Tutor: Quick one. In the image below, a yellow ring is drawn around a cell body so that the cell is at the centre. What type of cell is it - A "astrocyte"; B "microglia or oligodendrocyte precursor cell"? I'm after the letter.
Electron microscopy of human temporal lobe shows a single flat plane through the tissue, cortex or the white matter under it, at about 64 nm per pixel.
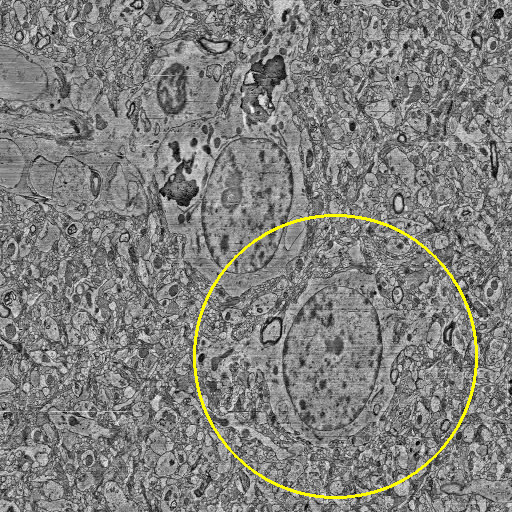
A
